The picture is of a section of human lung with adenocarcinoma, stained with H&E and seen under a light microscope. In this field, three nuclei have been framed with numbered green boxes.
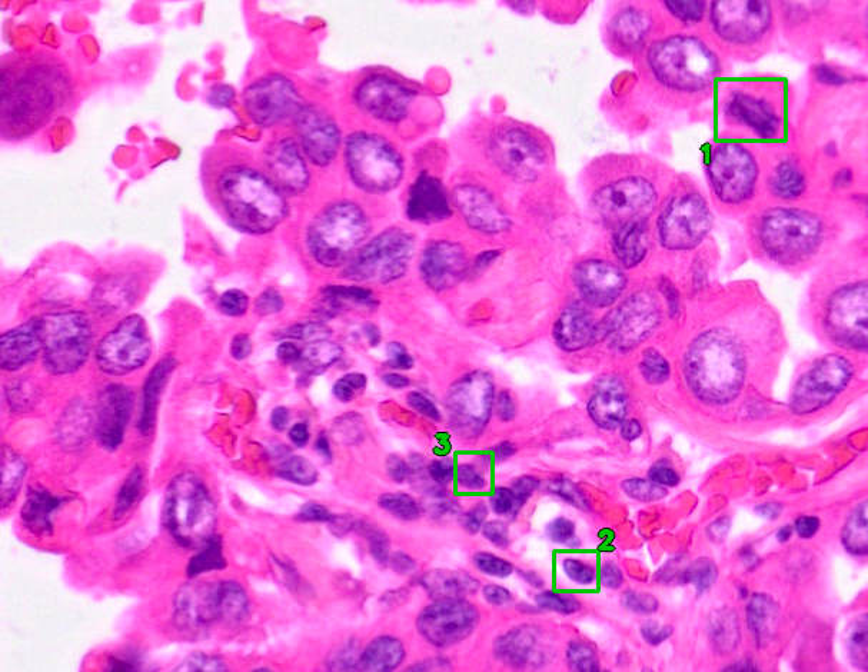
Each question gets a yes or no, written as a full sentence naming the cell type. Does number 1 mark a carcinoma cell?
Yes, regarding number 1, the cell is a carcinoma cell.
